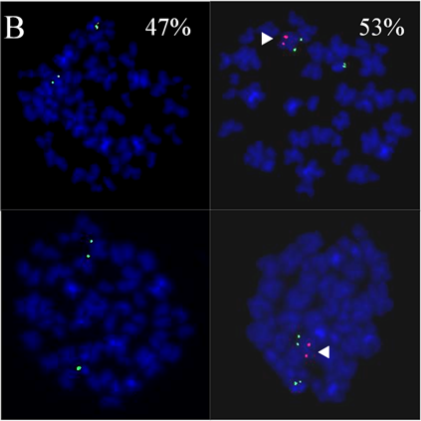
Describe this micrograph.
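The upper two spreads show many separate rod-shaped chromosomes scattered over a dark background. The lower two are blurrier, with the chromosomes crowded into a round cluster. Small green dots sit in pairs on a few chromosomes in every spread. In the two spreads on the right, a white arrowhead points to a pair of small red dots on one chromosome, next to green dots. The two spreads on the left have no red dots.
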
